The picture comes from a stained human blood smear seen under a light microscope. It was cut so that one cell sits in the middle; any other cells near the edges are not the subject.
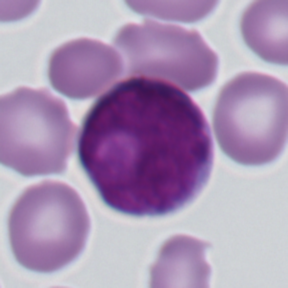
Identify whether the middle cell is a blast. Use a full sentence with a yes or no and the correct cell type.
Yes, within this crop, the central cell is a blast.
